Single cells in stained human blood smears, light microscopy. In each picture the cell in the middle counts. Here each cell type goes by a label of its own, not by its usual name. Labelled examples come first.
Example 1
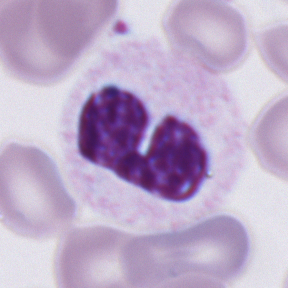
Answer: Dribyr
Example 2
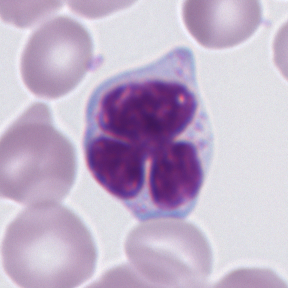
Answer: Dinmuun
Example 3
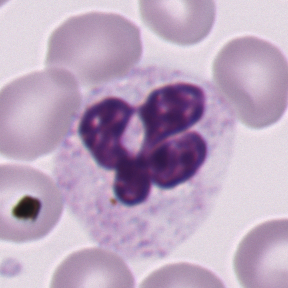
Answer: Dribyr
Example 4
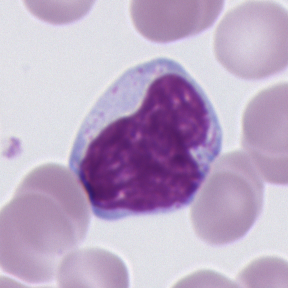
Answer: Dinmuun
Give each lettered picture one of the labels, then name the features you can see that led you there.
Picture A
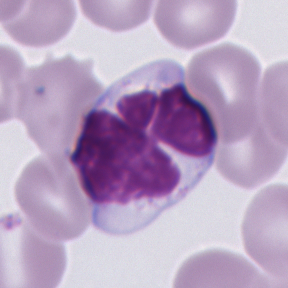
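Dinmuun. Evidence: The nucleus fills most of the cell.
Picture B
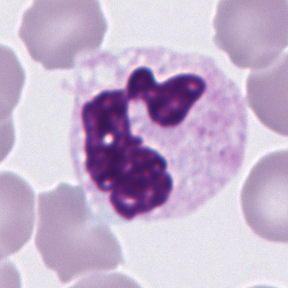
Dribyr. Evidence: The cytoplasm is plentiful and pale pinkish-lilac.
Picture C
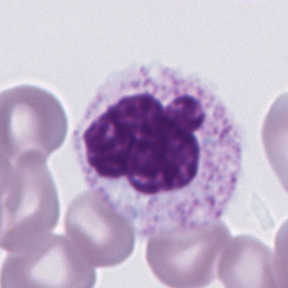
Dribyr. Evidence: The granules are scattered across the whole cytoplasm.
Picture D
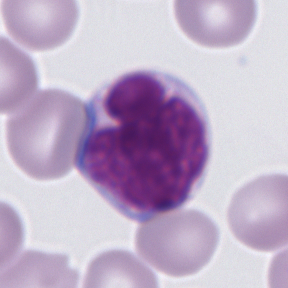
Dinmuun. Evidence: The cytoplasm forms only a thin rim around the nucleus.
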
